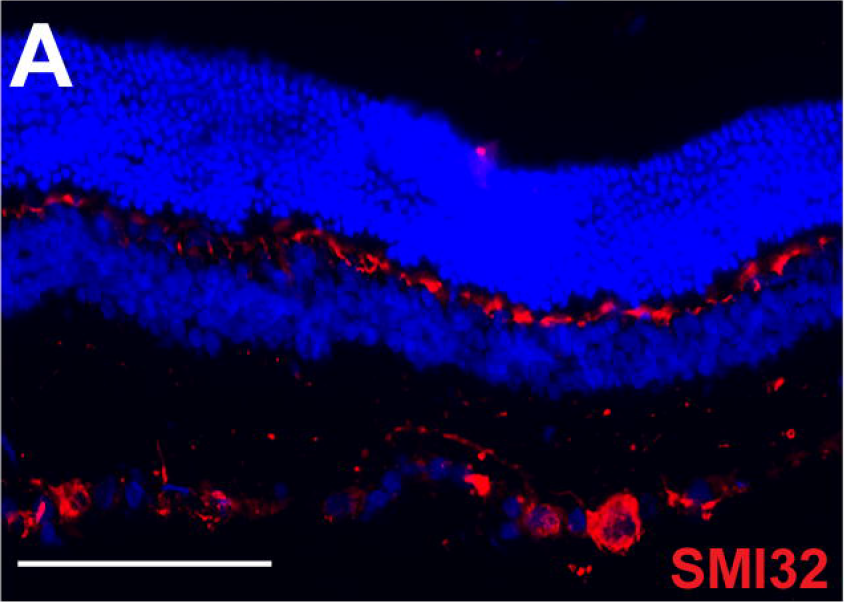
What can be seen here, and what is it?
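A cross-section of retina with its layered architecture, where large neurons of the ganglion cell layer are picked out in red. At the top a thick, densely packed band of blue nuclei forms the outer nuclear layer. Beneath it a thin, wavy red line runs along the outer plexiform layer, and below that lies a second, thinner band of blue nuclei, the inner nuclear layer. A wide dark zone, the inner plexiform layer, follows, crossed by a few fine red fibres.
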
